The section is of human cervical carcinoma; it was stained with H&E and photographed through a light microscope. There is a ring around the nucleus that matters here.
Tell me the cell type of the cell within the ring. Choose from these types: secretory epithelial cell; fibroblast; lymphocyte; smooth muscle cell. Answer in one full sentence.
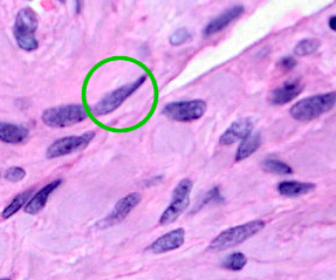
By cell type, the cell within the ring is a fibroblast.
